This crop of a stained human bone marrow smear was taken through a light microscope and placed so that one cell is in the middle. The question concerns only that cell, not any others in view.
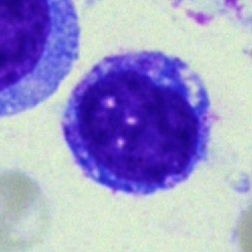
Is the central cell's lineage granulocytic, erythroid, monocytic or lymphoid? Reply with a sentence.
The correct lineage for the cell at the center is the monocytic one.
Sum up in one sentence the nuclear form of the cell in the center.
One compact mass makes up the whole nucleus, round, oval or kidney-shaped.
